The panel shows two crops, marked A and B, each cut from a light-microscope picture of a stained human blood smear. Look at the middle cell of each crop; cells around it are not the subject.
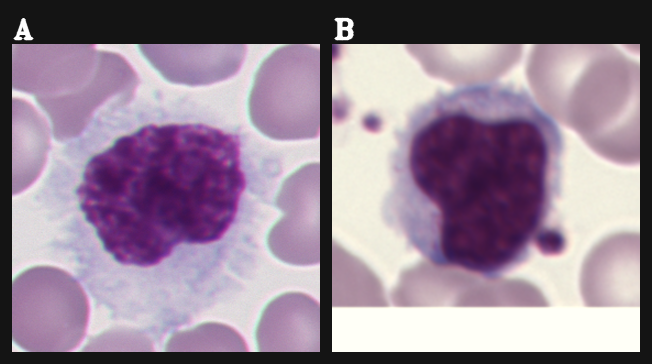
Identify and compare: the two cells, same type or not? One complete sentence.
No, in crop A there is a hairy cell, and in crop B there is a typical lymphocyte.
